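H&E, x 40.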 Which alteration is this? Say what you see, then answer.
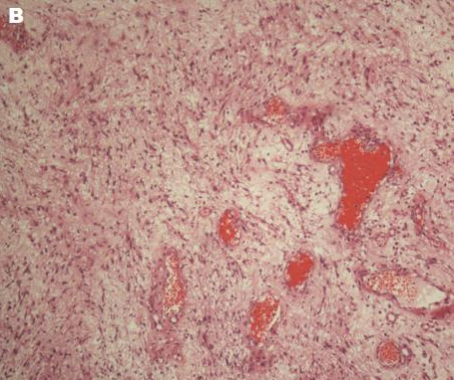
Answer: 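Edematous hypocellular areas. Loosely scattered spindle nuclei in a pale, loose matrix. Several blood-filled vessels lie in the loose stroma.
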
